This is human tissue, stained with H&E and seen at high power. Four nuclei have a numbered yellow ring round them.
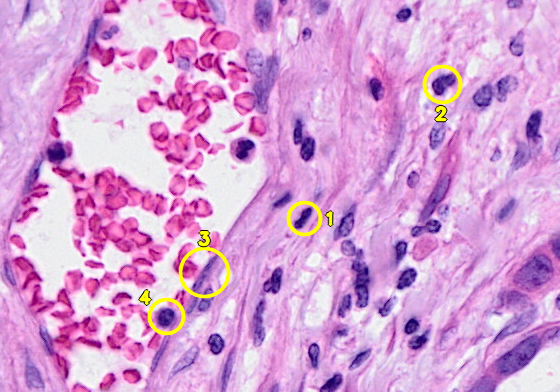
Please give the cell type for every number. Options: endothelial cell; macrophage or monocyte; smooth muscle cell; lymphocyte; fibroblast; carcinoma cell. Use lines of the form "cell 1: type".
cell 1: lymphocyte
cell 2: lymphocyte
cell 3: endothelial cell
cell 4: lymphocyte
